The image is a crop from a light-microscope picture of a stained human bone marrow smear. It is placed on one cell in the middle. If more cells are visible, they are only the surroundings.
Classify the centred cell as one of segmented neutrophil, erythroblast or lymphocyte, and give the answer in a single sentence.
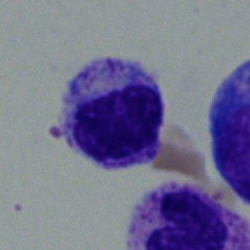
In the central position of this crop, the cell is a lymphocyte.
